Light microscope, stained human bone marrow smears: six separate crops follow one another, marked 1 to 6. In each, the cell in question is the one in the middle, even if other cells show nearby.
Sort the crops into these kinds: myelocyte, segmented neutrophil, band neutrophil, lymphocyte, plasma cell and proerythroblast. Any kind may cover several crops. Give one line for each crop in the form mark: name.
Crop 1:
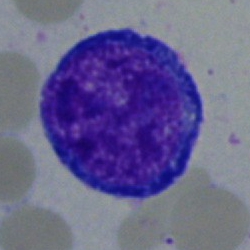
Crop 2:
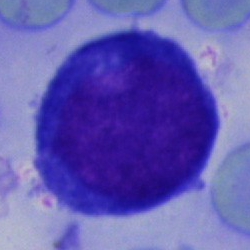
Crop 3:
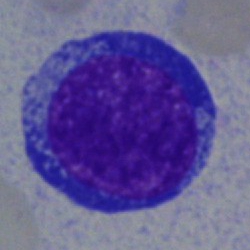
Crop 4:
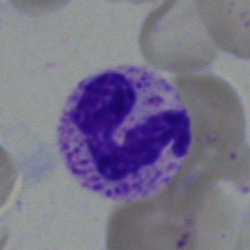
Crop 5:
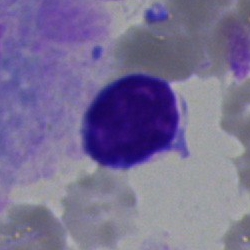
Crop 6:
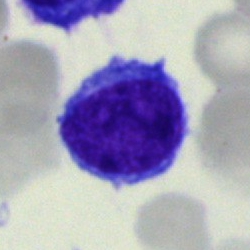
1: proerythroblast
2: proerythroblast
3: proerythroblast
4: segmented neutrophil
5: lymphocyte
6: lymphocyte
